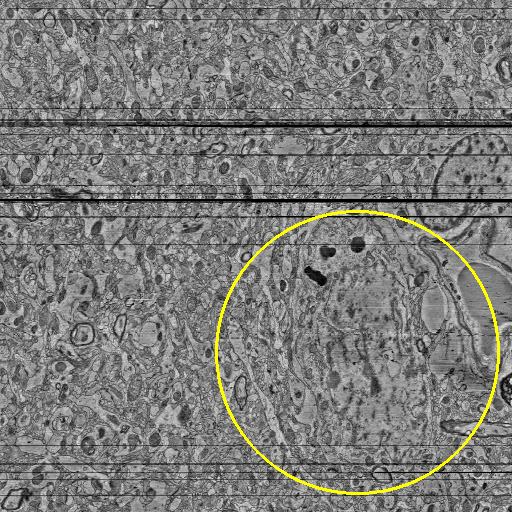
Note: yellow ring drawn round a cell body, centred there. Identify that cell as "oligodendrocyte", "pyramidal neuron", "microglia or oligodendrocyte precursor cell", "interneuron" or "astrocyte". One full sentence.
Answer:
The cell in the middle of the ring is an interneuron.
